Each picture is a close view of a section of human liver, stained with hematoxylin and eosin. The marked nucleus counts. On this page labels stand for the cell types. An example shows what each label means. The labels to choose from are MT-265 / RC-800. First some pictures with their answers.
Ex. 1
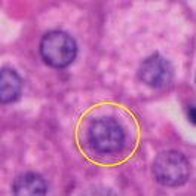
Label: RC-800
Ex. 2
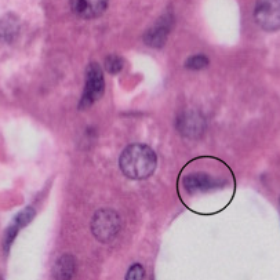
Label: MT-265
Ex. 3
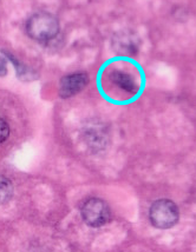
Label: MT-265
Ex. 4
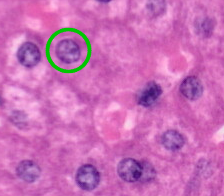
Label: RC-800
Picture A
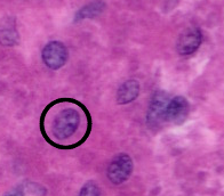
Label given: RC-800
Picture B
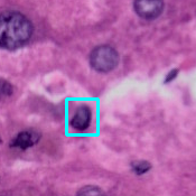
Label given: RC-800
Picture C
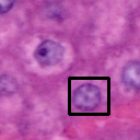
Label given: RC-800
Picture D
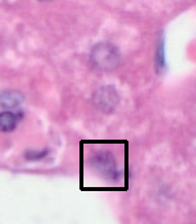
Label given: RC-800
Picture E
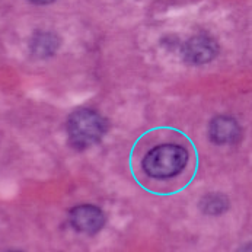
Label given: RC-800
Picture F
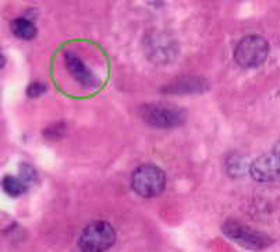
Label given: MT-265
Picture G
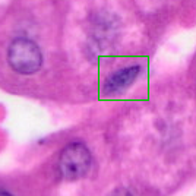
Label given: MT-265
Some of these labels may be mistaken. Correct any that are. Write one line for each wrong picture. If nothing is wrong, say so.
Wrong: B (RC-800); correct: MT-265
Wrong: D (RC-800); correct: MT-265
